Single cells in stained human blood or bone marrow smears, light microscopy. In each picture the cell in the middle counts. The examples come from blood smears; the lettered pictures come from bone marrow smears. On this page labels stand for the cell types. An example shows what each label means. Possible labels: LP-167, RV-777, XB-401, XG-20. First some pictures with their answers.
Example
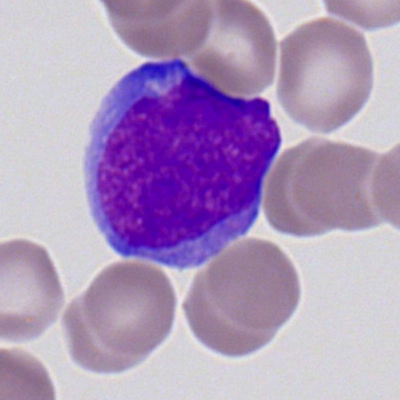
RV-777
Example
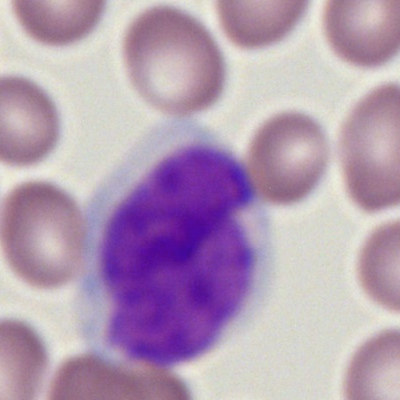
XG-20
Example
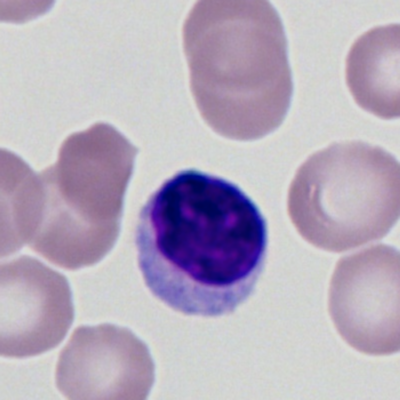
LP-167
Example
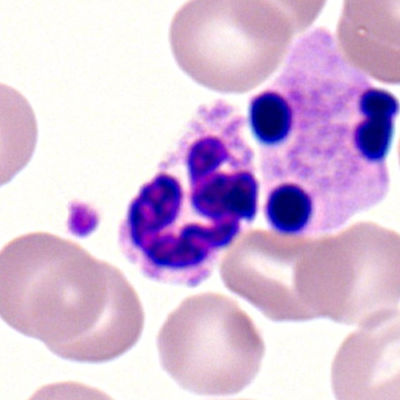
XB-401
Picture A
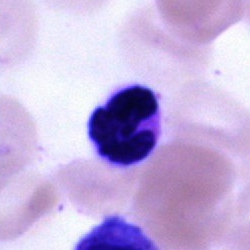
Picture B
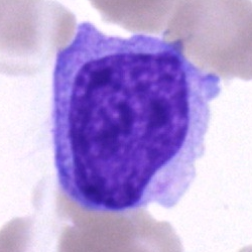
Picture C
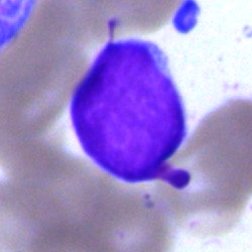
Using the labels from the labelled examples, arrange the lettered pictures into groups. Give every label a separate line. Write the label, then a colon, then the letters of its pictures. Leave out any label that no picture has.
RV-777: B, C
XB-401: A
